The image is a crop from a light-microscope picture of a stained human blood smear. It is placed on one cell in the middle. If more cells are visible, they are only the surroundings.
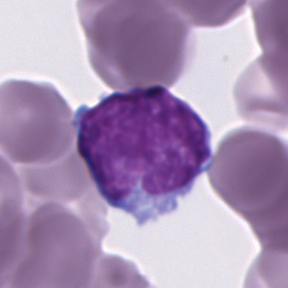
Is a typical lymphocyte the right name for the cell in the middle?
yes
